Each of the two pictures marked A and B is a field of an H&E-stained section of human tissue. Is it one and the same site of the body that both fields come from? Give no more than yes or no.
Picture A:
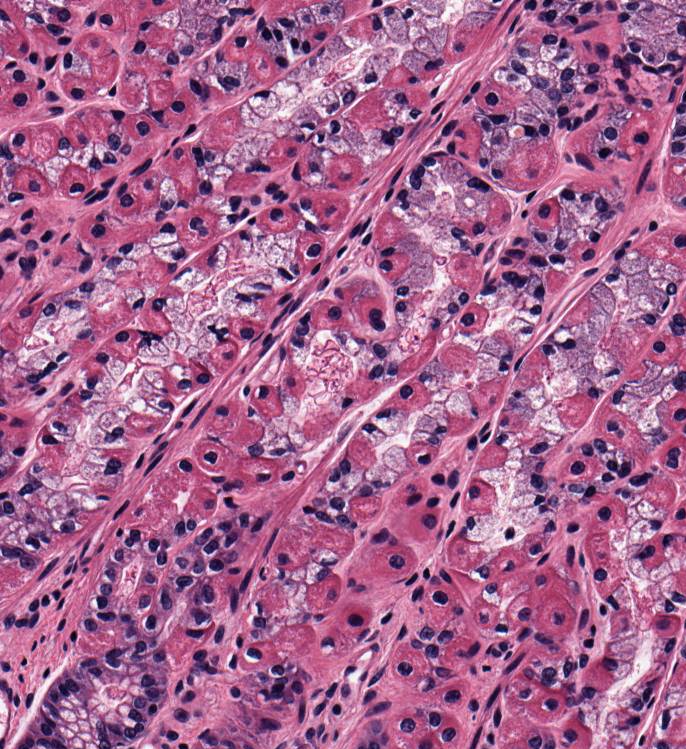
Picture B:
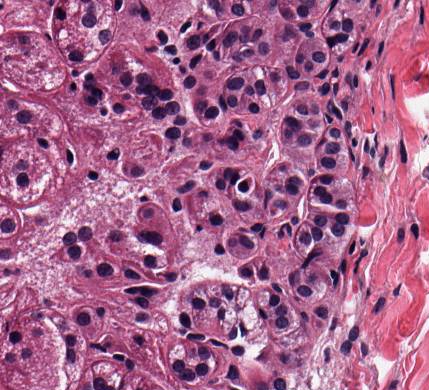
no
